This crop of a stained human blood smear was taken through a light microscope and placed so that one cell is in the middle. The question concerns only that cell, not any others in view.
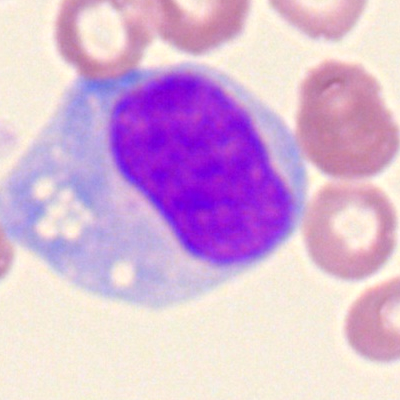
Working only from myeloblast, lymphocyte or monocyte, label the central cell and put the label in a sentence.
Centred in the crop is a monocyte.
